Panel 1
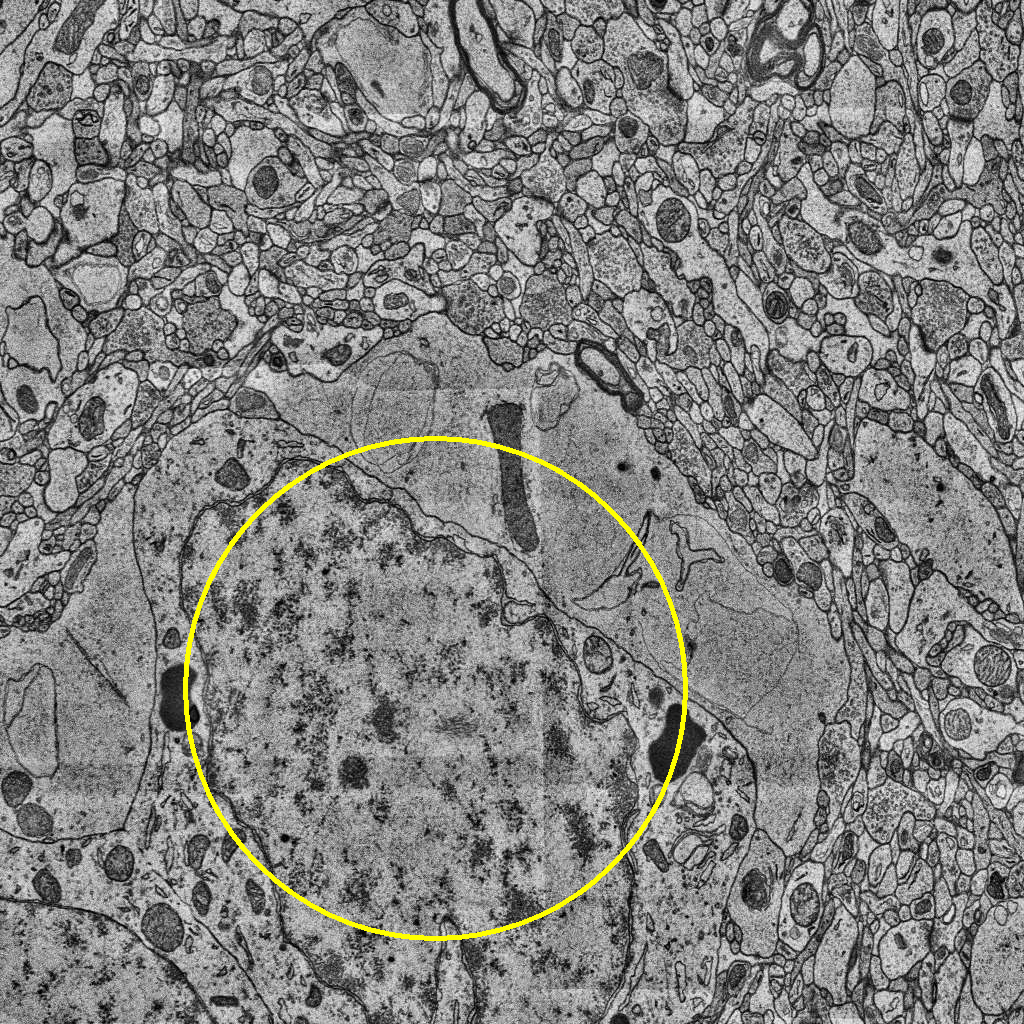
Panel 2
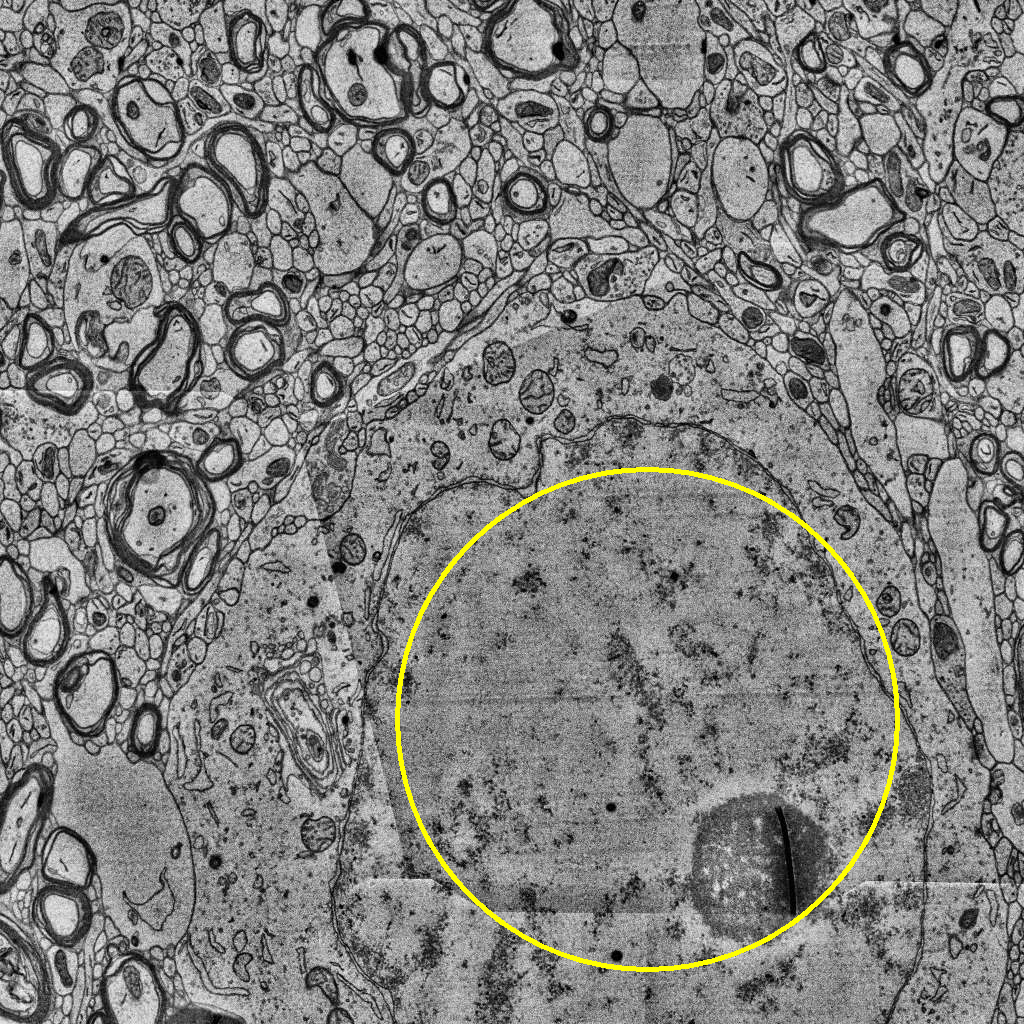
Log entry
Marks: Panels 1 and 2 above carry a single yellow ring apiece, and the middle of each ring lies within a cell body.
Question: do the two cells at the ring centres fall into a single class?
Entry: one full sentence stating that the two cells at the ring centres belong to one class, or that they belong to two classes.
The two cells at the ring centres in Panels 1 and 2 belong to one class.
